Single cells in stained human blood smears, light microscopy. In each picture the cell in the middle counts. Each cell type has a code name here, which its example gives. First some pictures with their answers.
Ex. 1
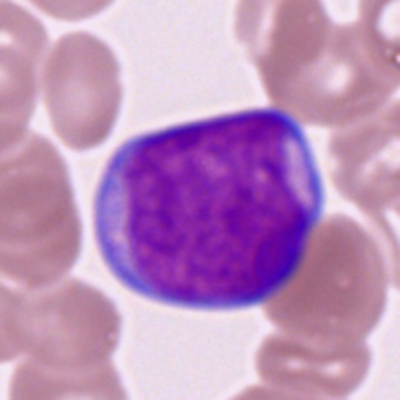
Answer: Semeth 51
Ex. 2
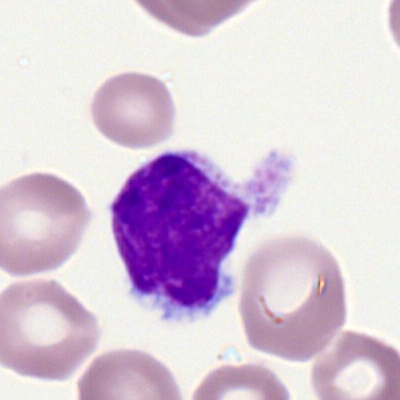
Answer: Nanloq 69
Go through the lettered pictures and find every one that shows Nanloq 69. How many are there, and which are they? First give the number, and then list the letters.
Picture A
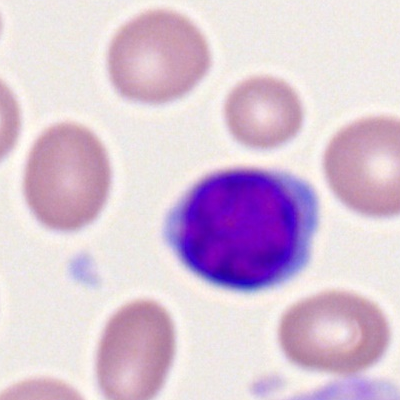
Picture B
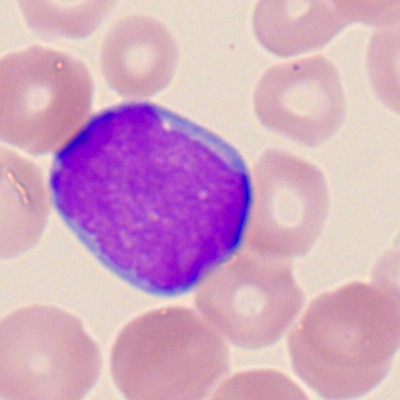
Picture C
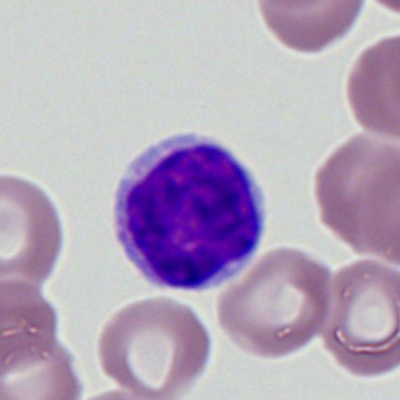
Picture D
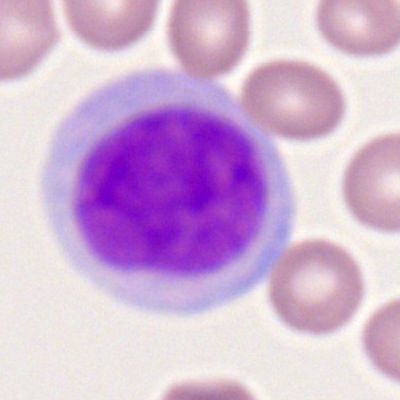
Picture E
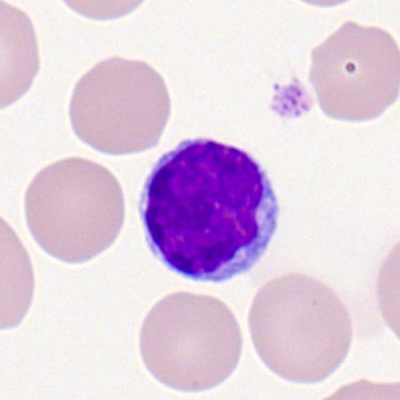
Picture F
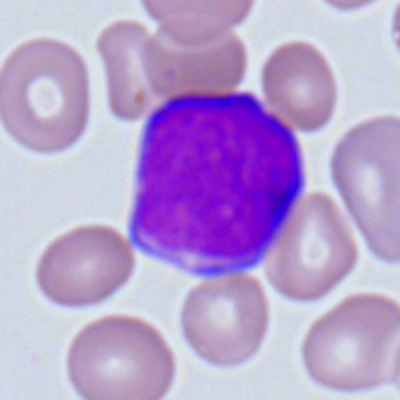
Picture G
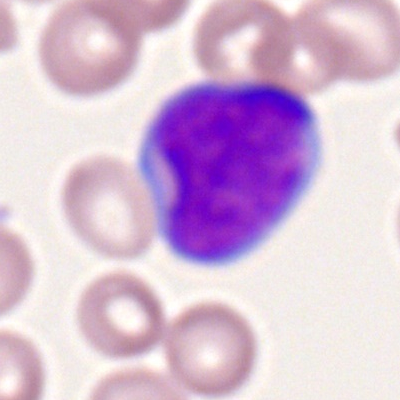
Count: 3 (A, C, E)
